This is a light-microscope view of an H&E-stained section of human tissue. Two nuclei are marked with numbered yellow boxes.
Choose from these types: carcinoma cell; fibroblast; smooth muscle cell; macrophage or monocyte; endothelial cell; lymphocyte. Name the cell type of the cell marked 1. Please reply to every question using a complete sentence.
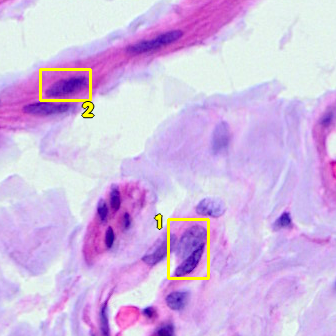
The cell marked with number 1 is an endothelial cell.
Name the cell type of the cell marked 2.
The cell assigned the number 2 is a smooth muscle cell.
